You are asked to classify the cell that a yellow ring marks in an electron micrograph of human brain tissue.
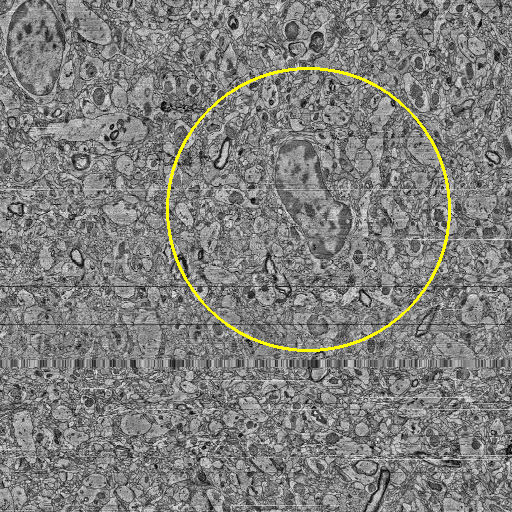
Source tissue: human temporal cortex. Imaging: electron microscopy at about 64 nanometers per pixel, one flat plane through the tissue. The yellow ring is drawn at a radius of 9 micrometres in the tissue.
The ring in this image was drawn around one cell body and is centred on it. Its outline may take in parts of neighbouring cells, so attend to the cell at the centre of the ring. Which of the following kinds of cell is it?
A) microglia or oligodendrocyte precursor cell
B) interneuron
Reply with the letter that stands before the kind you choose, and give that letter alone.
A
